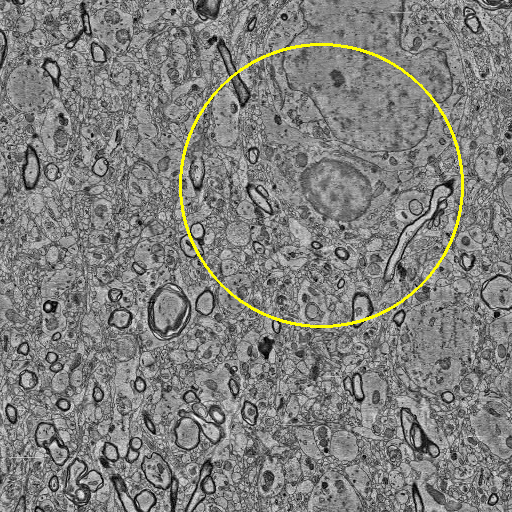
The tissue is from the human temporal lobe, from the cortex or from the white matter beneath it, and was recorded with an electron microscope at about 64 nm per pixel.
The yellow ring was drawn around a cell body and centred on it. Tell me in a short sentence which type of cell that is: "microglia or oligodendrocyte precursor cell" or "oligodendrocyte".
The cell at the ring's centre is an oligodendrocyte.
